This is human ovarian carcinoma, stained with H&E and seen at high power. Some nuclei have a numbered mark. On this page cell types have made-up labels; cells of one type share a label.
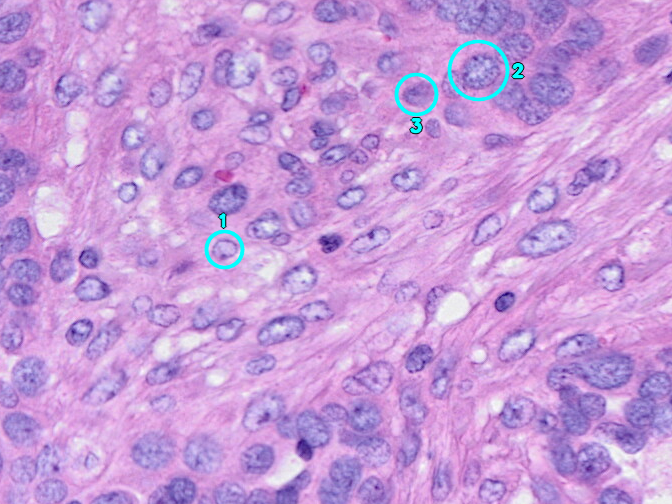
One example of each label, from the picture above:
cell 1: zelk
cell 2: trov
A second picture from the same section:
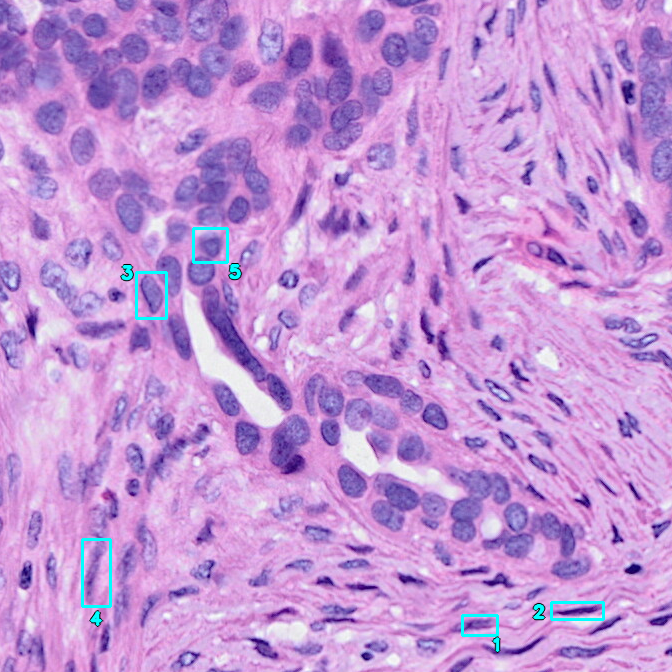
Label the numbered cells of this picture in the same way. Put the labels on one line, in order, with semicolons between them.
zelk; zelk; trov; zelk; trov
